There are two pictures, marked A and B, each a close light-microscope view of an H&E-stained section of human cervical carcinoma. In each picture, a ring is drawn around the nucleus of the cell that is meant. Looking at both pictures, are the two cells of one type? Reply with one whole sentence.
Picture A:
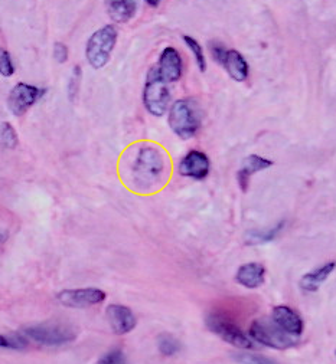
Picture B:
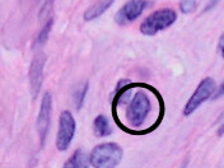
Yes, both cells are endothelial cells.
